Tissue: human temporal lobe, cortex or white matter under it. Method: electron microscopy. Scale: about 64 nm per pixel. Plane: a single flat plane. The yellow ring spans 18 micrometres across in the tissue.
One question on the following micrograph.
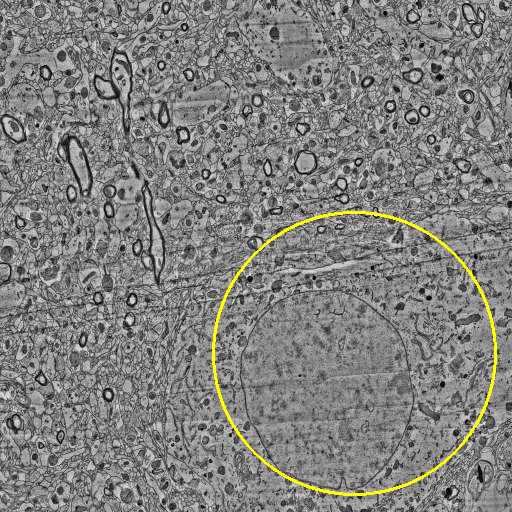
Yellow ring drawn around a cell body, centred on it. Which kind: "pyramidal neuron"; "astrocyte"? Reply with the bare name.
pyramidal neuron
